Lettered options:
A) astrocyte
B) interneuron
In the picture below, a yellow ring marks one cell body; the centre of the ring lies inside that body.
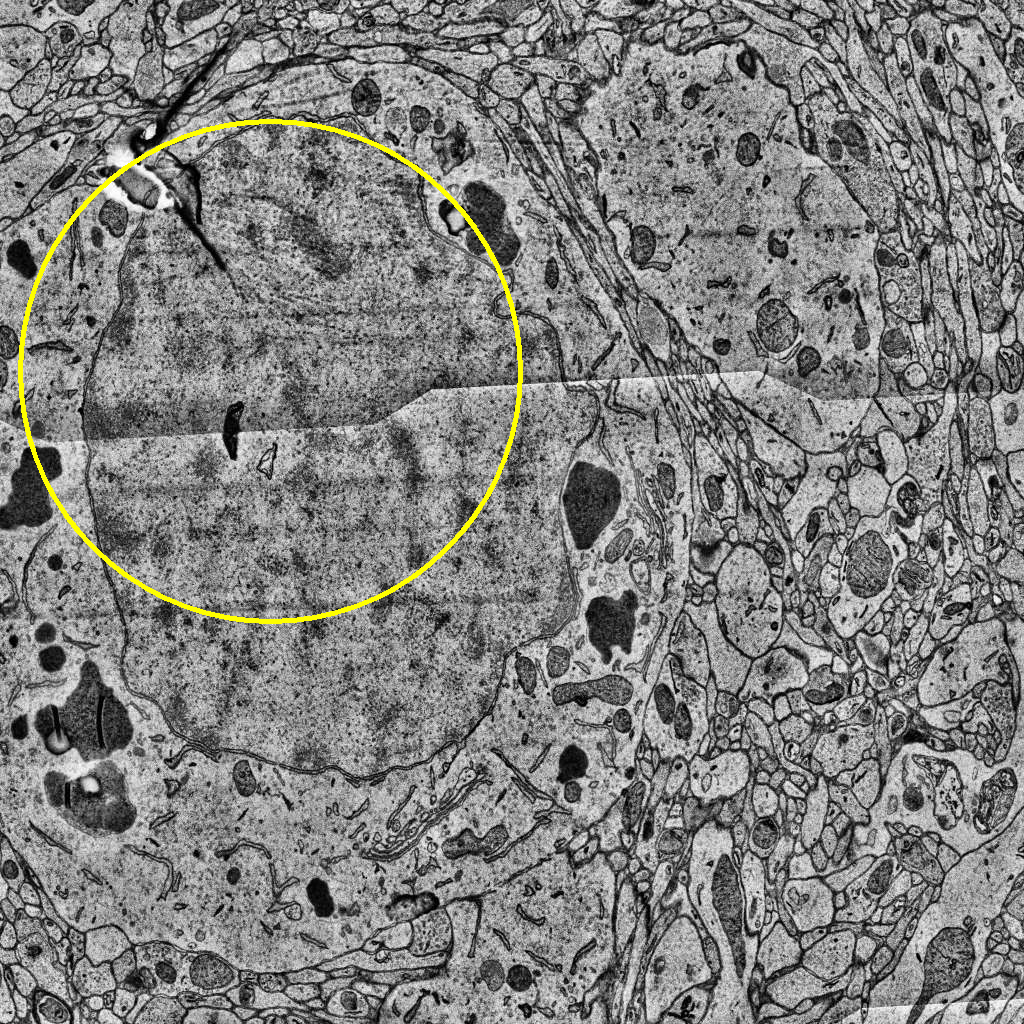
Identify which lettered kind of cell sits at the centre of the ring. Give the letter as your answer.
B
